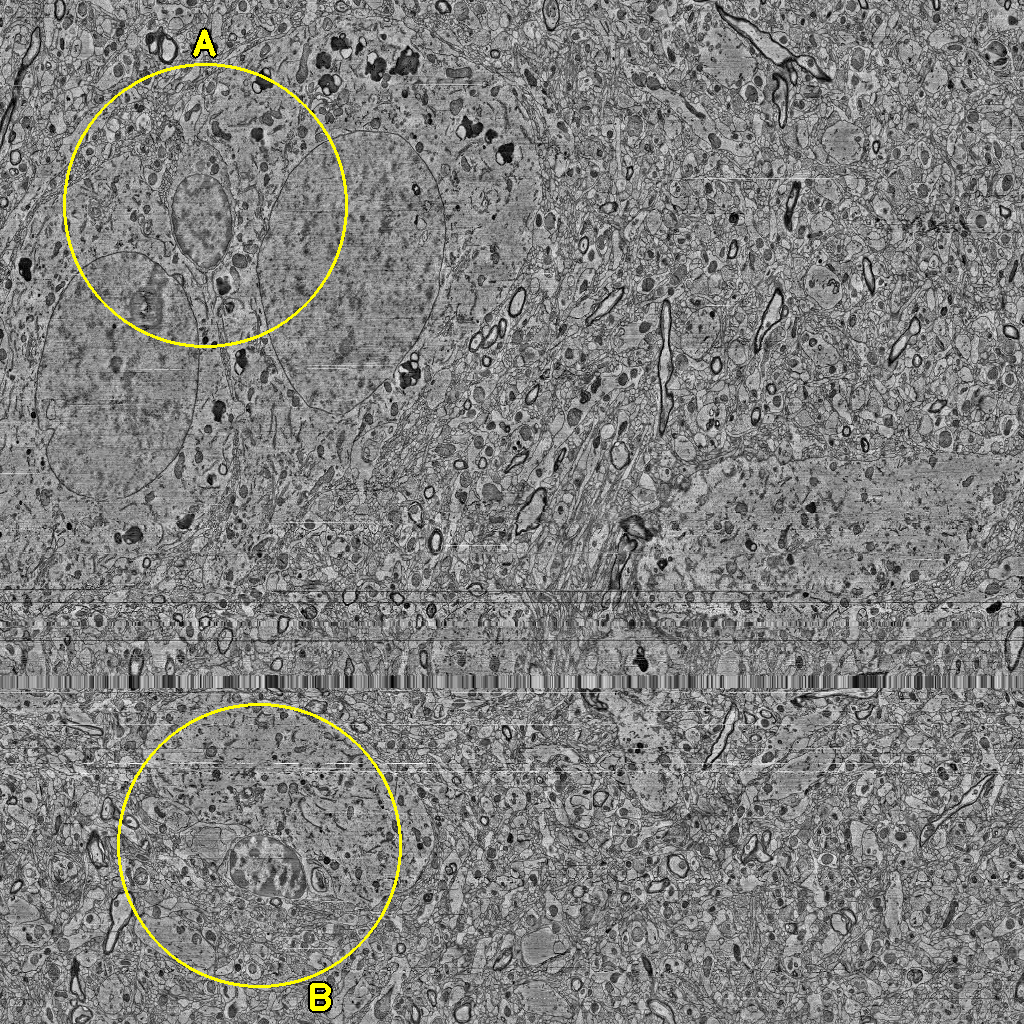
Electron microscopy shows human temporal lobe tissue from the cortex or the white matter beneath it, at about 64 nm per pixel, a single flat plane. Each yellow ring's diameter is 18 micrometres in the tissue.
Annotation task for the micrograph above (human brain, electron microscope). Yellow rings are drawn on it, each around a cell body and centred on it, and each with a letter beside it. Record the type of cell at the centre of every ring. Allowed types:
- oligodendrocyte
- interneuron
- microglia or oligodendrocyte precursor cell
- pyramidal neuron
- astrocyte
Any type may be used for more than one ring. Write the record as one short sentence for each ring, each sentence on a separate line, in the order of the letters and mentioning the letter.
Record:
The cell centred in ring A is an oligodendrocyte.
The cell centred in ring B is a microglial cell or oligodendrocyte precursor cell.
